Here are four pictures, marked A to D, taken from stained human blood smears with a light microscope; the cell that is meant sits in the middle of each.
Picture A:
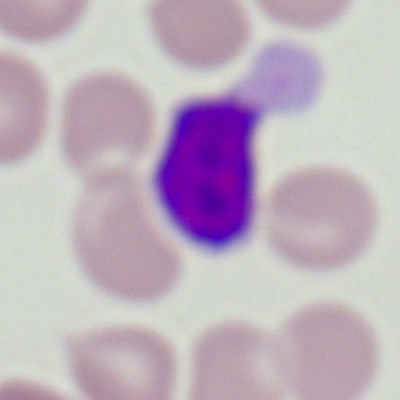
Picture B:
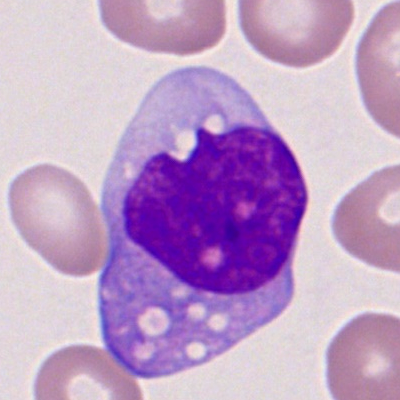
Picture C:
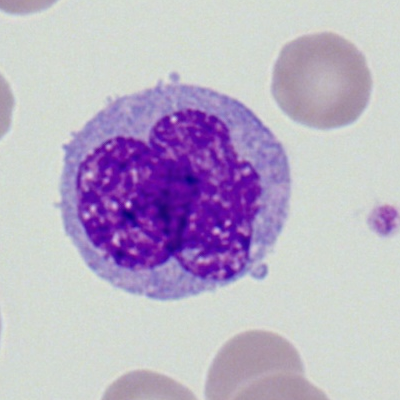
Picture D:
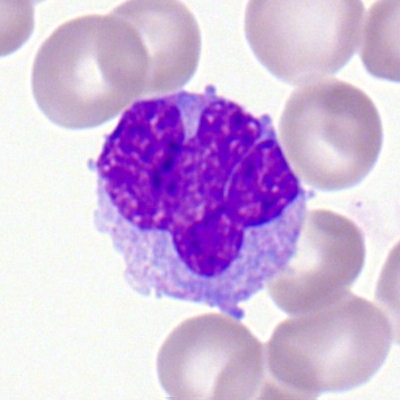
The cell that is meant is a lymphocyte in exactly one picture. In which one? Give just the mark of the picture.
A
